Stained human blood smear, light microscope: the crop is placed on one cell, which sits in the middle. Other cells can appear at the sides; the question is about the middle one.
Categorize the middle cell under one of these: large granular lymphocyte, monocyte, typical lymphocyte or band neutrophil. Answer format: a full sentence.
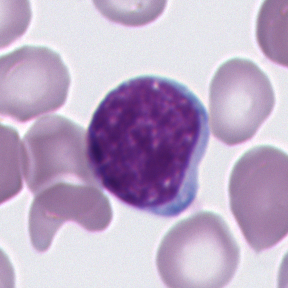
Looking at the middle of the crop, the cell there is a typical lymphocyte.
